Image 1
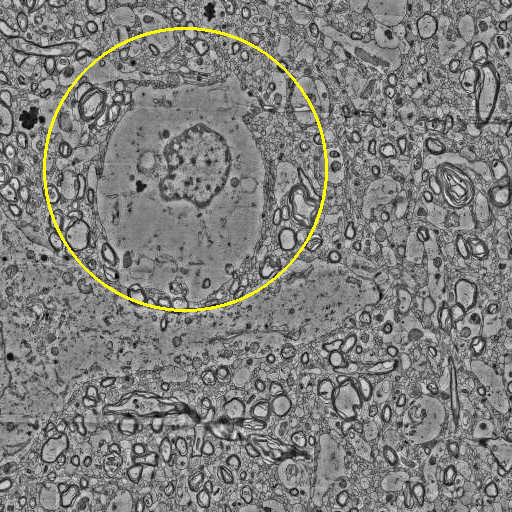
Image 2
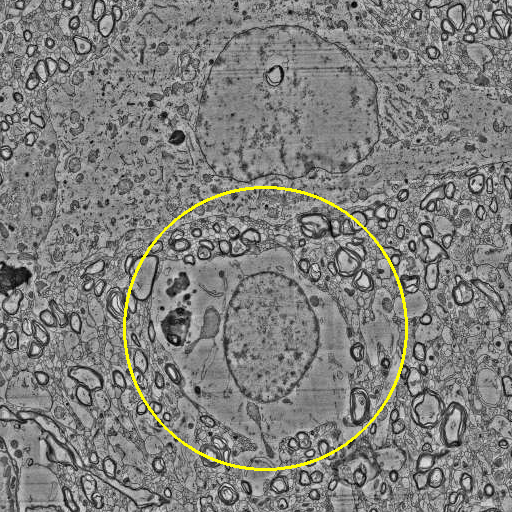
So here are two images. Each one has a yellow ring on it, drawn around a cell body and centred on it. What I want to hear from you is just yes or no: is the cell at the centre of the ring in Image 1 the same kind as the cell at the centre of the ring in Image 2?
yes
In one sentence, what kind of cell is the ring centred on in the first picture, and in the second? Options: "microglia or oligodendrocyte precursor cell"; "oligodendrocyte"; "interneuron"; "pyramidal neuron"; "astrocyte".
The cell at the ring centre is an astrocyte in both pictures.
